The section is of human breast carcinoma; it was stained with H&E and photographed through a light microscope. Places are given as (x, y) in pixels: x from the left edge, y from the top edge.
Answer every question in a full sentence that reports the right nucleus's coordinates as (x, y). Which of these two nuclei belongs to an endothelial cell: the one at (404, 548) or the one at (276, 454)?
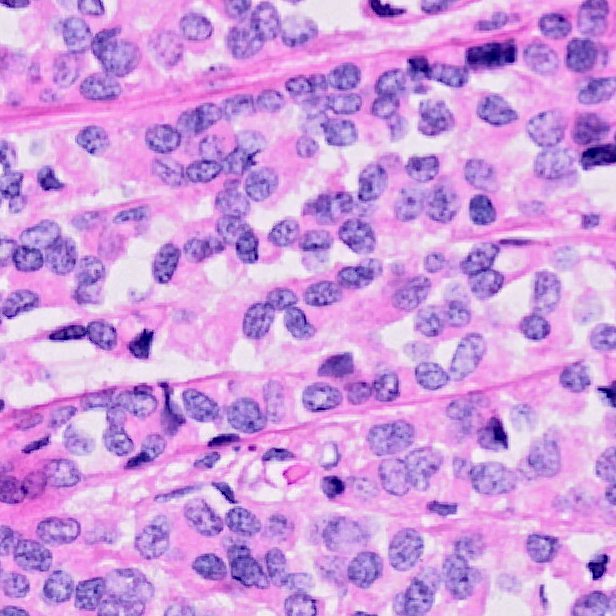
At (276, 454) lies the nucleus that belongs to an endothelial cell.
